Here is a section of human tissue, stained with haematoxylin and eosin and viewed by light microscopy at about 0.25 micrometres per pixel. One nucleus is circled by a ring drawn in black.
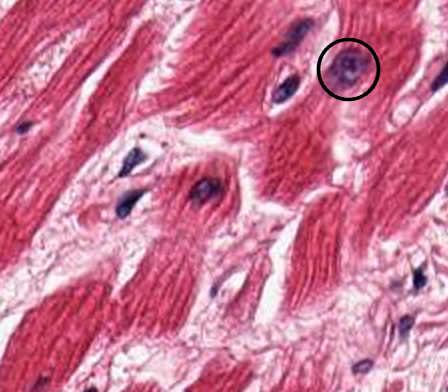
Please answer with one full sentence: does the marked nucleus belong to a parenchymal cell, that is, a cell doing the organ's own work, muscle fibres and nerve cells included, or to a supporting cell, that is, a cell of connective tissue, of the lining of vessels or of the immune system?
On this slide the marked nucleus belongs to a parenchymal cell, namely a cardiomyocyte.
